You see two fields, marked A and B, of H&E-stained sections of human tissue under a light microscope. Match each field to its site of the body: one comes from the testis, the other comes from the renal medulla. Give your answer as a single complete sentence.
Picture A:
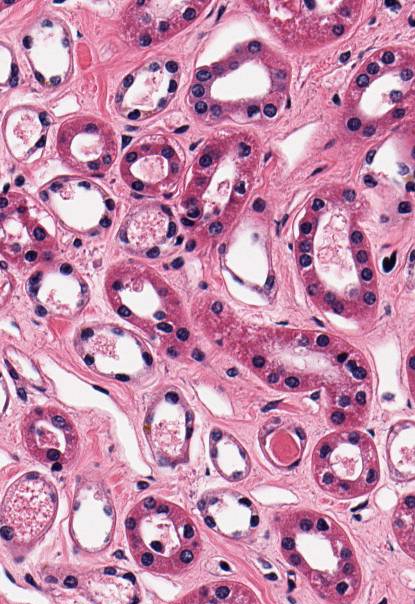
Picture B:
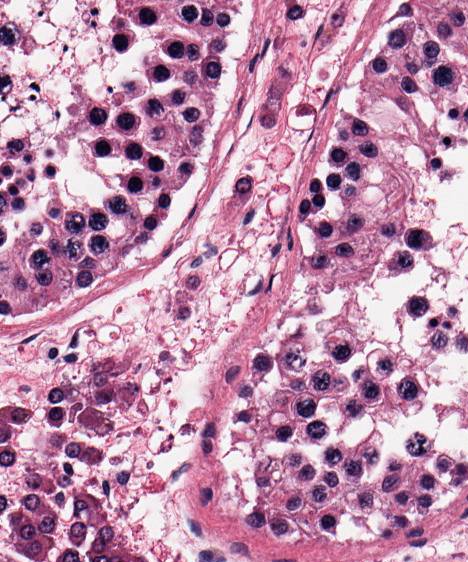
Picture B comes from the testis, while picture A comes from the renal medulla.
